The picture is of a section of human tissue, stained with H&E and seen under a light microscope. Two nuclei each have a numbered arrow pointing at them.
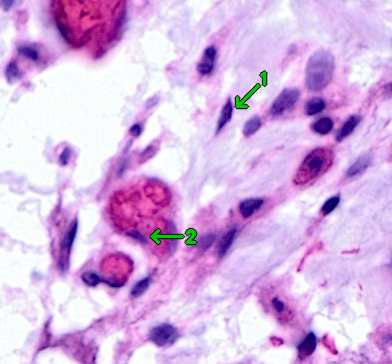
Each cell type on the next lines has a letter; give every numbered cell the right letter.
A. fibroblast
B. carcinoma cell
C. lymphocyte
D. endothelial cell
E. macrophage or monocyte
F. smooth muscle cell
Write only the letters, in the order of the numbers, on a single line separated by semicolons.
A; D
